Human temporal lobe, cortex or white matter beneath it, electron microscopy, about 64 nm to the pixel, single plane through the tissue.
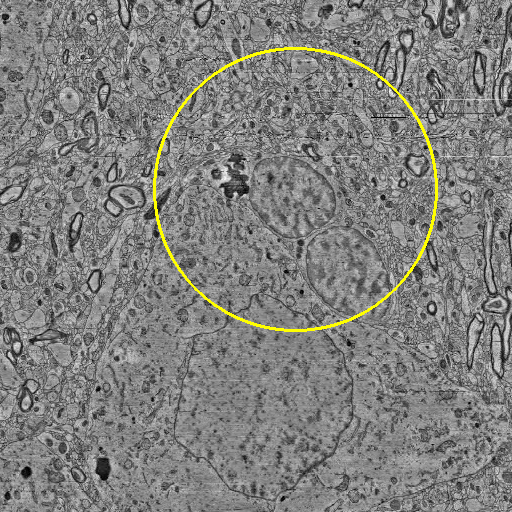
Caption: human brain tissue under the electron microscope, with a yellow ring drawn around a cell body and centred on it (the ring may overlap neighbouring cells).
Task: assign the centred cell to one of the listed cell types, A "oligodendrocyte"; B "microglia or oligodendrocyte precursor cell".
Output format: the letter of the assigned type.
A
